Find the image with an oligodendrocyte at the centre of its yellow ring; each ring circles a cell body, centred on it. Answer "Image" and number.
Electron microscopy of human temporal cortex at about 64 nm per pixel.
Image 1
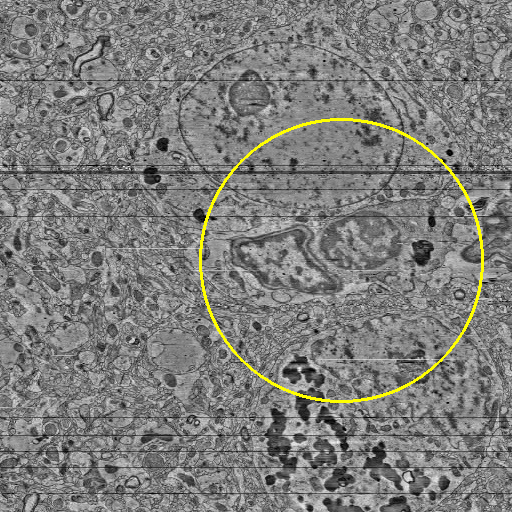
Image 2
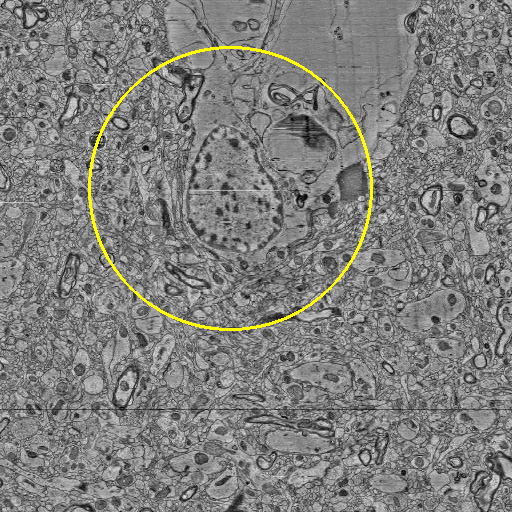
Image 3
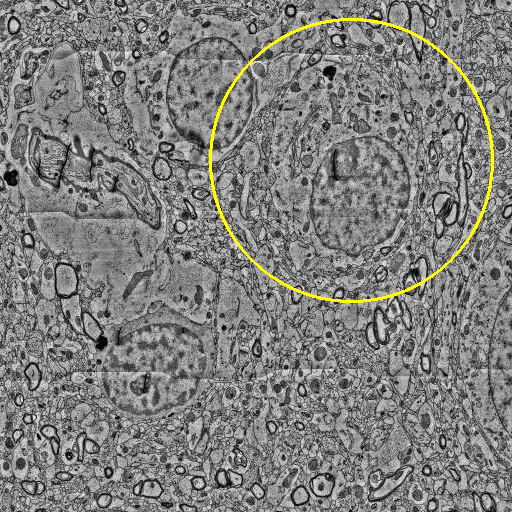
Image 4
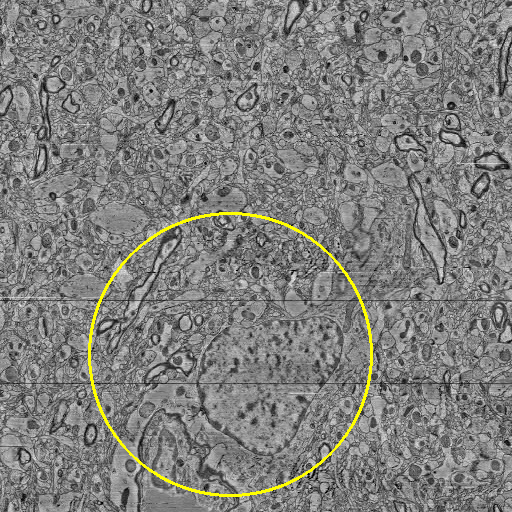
Image 1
